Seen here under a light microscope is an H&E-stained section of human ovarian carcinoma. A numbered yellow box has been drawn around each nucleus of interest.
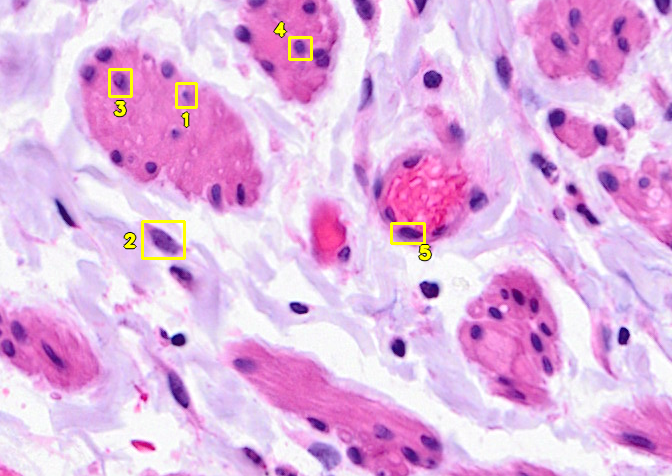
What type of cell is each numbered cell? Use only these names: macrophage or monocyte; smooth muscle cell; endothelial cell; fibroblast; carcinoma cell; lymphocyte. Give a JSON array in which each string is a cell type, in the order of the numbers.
["smooth muscle cell", "fibroblast", "smooth muscle cell", "smooth muscle cell", "endothelial cell"]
